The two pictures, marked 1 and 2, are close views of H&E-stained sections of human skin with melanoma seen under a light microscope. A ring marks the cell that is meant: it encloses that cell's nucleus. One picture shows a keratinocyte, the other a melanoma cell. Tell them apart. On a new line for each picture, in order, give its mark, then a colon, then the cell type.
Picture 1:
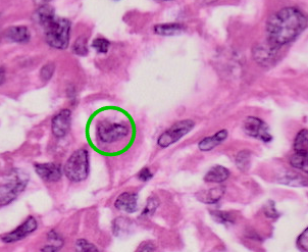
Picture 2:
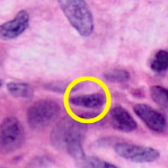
1: melanoma cell
2: keratinocyte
